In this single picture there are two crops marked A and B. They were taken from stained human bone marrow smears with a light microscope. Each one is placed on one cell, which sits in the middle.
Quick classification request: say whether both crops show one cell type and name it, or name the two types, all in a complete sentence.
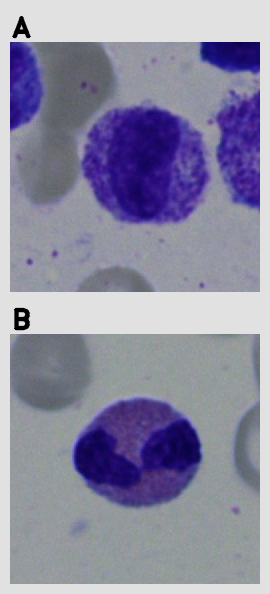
No, it is a myelocyte that crop A shows, and an eosinophil that crop B shows.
